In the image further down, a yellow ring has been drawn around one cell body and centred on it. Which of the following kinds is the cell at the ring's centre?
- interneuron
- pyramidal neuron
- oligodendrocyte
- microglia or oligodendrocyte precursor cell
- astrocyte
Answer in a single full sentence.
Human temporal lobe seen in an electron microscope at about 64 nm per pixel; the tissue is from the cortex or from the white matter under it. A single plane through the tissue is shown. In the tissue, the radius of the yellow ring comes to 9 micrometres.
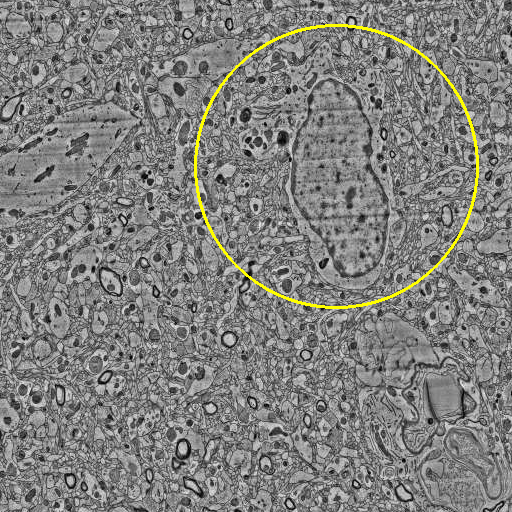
In the picture, the cell sitting at the centre of the yellow ring is a microglial cell or oligodendrocyte precursor cell.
